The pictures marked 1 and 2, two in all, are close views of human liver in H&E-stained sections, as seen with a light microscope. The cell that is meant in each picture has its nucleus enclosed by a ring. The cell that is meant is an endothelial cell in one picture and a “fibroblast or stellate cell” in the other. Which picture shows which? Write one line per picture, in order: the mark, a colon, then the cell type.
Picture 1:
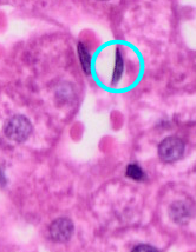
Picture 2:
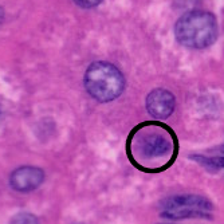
1: endothelial cell
2: fibroblast or stellate cell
